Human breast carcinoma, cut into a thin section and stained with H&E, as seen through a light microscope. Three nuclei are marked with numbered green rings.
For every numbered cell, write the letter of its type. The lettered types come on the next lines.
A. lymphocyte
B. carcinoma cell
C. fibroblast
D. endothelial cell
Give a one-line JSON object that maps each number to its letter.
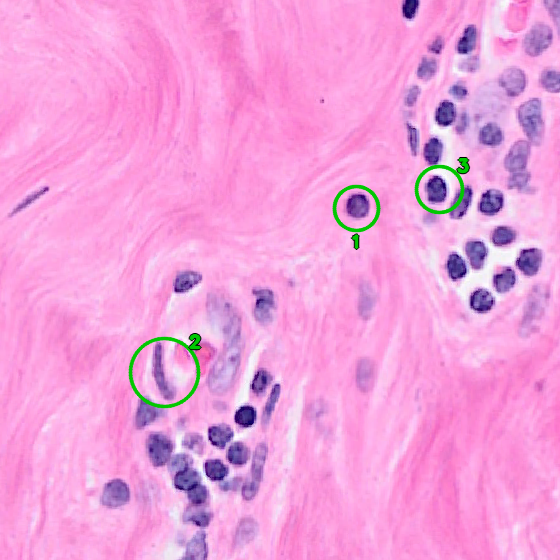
{"1": "A", "2": "D", "3": "A"}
